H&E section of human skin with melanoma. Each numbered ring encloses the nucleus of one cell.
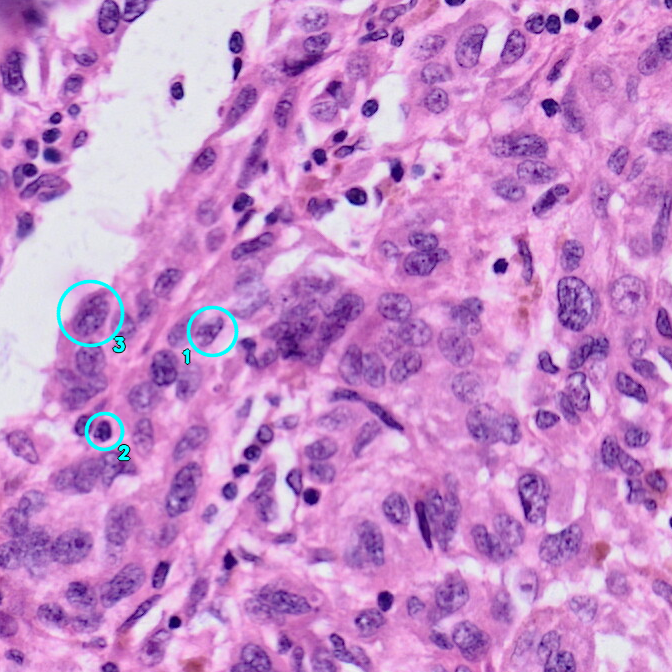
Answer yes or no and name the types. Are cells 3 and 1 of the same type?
Yes, both are melanoma cells.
